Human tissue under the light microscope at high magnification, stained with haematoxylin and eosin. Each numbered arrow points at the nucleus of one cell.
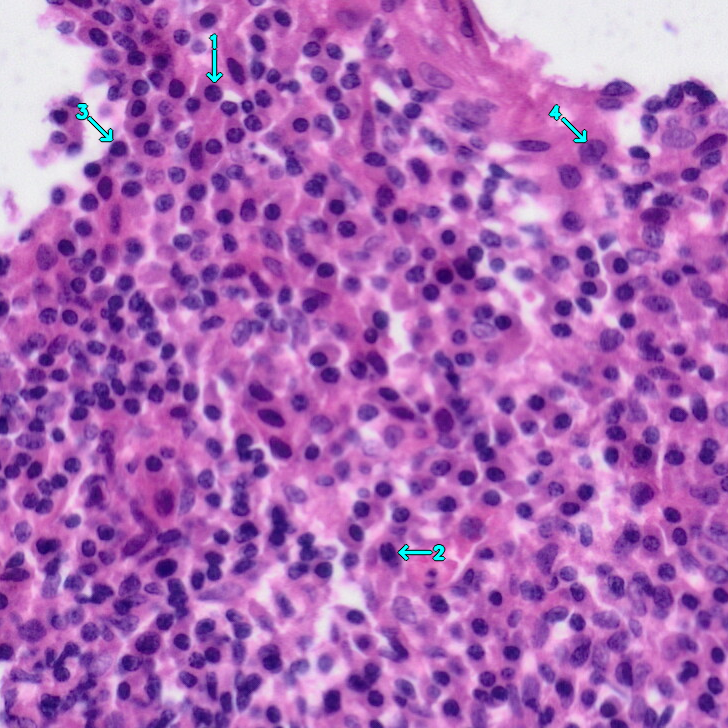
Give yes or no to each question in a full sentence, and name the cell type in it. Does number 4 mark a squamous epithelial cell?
Yes, the cell pointed out as number 4 is a squamous epithelial cell.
